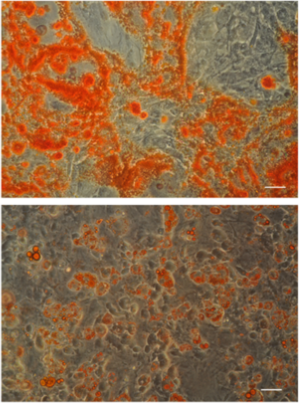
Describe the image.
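In the upper image, irregular red-orange deposits form nodules and sheets over large areas of the culture. Grey, unstained cells can be seen between the deposits. In the lower image, many cells are packed with small round red droplets in their cytoplasm, scattered among paler cells without droplets.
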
